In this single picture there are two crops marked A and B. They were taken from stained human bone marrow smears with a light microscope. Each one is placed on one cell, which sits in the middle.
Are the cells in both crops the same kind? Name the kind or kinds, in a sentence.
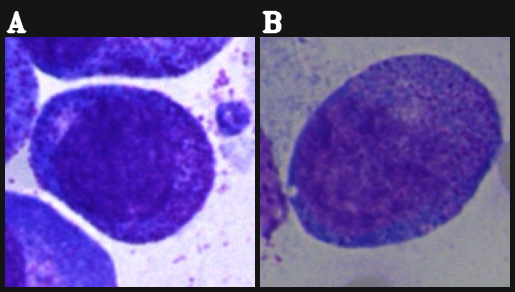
Yes, promyelocytes are the cells in the middle of both crops.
